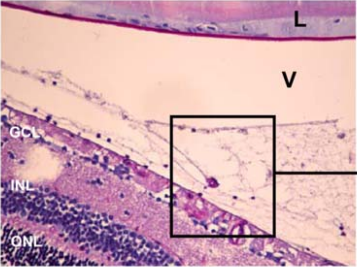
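Section of the eye with the lens at the top, the vitreous cavity in the middle and the retina along the lower left. Thin strands and a fine fibrillar network cross the vitreous just above the inner retinal surface, carrying a few cells with dark nuclei and magenta-stained cytoplasm. Below, the retina shows a sparse innermost cell layer, a middle band of nuclei and a dense outer band of dark purple nuclei.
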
